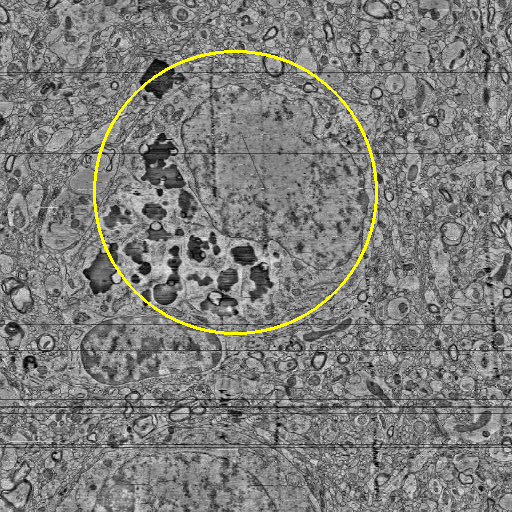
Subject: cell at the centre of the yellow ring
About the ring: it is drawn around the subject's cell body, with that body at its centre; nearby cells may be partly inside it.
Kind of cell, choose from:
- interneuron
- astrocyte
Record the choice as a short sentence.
The subject cell is an interneuron.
